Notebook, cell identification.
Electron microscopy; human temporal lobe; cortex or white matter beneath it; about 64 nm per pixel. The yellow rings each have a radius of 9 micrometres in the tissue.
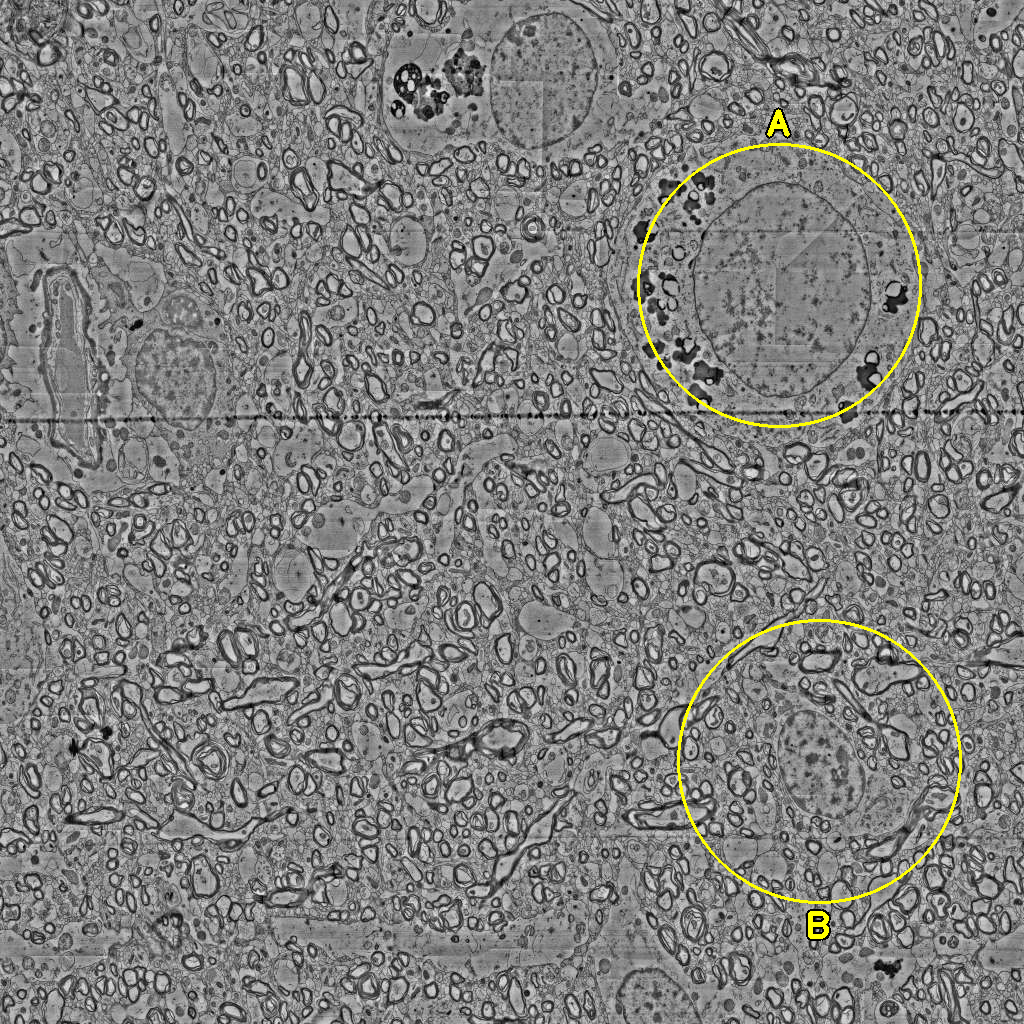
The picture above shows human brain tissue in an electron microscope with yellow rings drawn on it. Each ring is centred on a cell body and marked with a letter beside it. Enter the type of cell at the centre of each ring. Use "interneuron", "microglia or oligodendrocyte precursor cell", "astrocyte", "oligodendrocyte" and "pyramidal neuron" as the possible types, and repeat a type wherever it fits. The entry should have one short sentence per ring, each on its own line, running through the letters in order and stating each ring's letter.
The cell body in ring A belongs to a pyramidal neuron.
The cell body in ring B belongs to a microglial cell or oligodendrocyte precursor cell.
